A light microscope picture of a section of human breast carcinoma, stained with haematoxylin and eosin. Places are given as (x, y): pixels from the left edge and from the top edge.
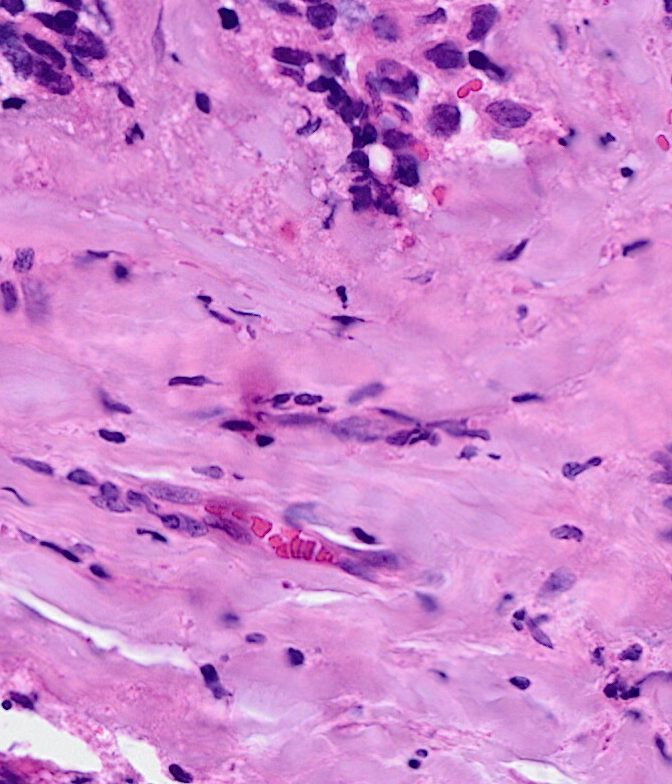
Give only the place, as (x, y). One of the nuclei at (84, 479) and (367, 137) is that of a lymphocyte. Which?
(84, 479)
